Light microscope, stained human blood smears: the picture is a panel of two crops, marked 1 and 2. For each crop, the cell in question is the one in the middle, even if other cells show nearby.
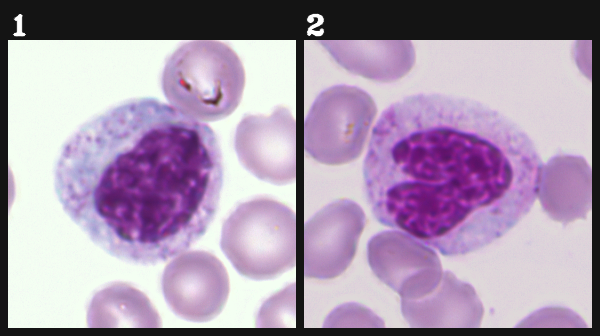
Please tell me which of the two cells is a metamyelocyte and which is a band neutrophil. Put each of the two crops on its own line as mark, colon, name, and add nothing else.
1: metamyelocyte
2: band neutrophil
